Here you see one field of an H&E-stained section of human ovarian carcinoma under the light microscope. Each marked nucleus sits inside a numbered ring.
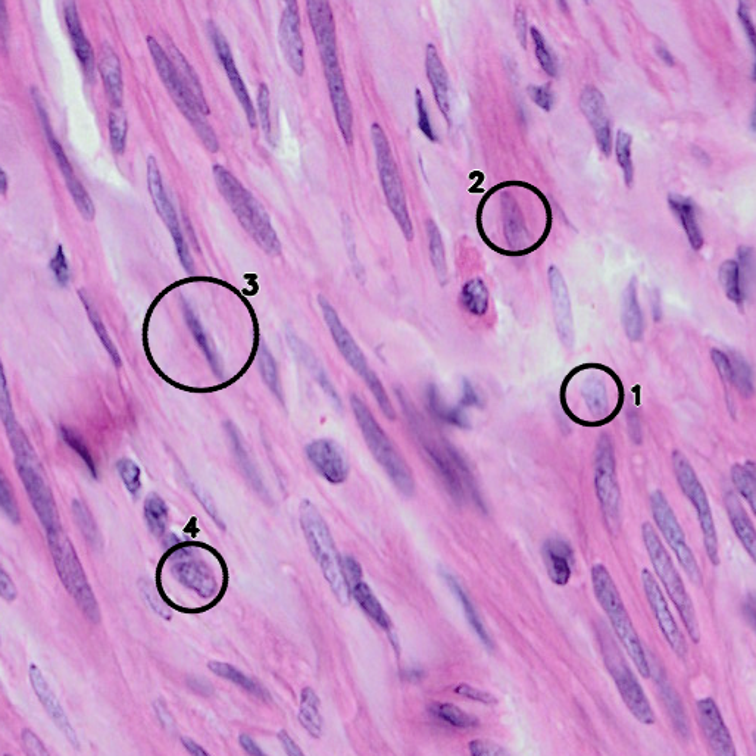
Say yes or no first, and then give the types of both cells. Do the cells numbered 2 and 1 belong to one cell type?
Yes, cells 2 and 1 are both smooth muscle cells and thus of one type.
